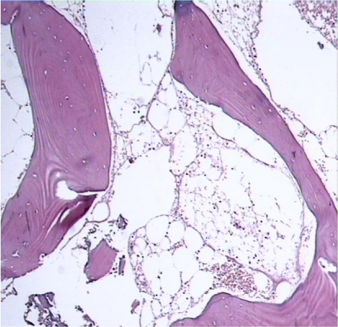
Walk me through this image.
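Broad pink bands of trabecular bone run through the field, with small scattered lacunae and faint layered lines in the bone matrix. Between the trabeculae, the marrow is made up mostly of large, clear, empty-looking fat cells, with scattered red blood cells and small cells between them.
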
